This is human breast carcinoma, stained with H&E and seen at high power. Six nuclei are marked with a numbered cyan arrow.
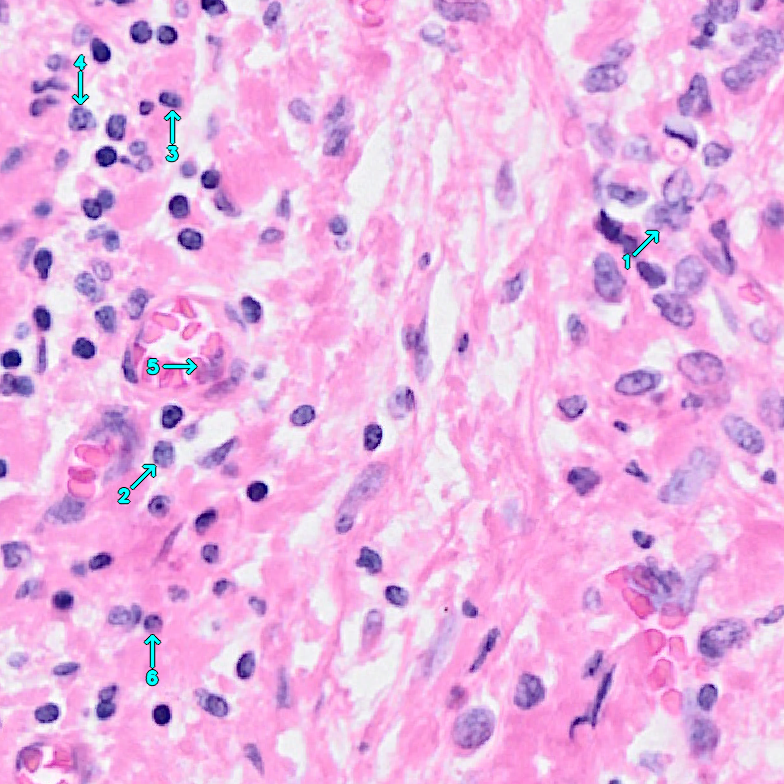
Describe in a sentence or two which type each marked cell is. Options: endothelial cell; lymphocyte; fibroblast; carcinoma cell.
Cell 1 is a carcinoma cell, cell 2 is a lymphocyte, cell 3 is a lymphocyte, cell 4 is a lymphocyte, cell 5 is an endothelial cell and cell 6 is a lymphocyte.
